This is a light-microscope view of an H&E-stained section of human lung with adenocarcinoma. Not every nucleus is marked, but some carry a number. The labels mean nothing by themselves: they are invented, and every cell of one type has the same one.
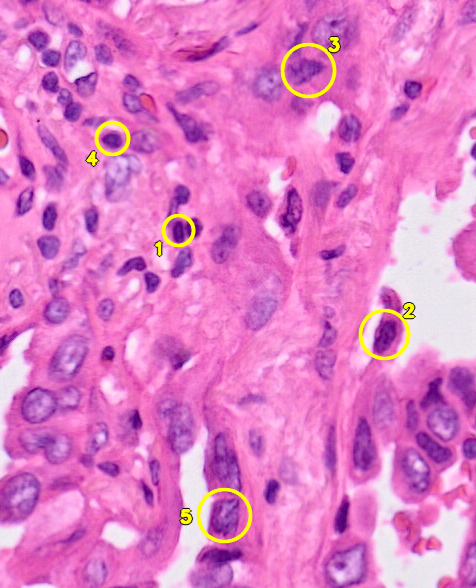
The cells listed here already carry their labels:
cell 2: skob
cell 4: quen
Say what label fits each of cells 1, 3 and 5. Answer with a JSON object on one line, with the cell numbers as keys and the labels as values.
{"1": "quen", "3": "skob", "5": "skob"}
